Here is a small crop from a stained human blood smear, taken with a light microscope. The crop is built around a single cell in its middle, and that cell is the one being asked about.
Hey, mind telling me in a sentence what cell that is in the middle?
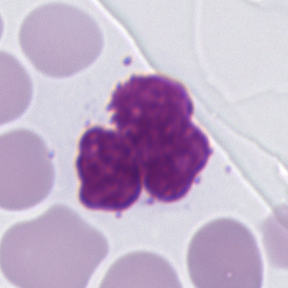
The cell in the exact centre of the crop is a smudge cell.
